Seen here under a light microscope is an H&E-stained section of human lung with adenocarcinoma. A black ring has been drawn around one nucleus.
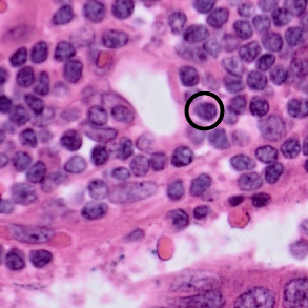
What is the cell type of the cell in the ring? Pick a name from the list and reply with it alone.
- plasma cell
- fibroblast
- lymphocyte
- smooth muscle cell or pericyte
lymphocyte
